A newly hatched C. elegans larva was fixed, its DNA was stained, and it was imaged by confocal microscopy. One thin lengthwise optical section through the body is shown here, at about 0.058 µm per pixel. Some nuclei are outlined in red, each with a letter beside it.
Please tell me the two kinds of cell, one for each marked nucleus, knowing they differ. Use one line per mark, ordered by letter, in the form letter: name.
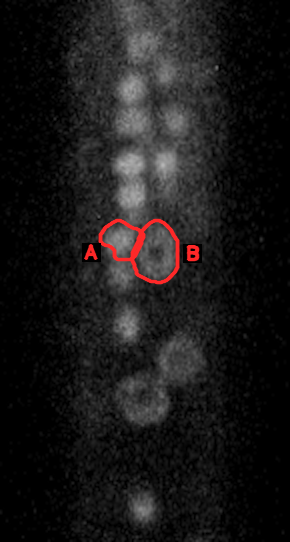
A: neuron
B: seam cell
